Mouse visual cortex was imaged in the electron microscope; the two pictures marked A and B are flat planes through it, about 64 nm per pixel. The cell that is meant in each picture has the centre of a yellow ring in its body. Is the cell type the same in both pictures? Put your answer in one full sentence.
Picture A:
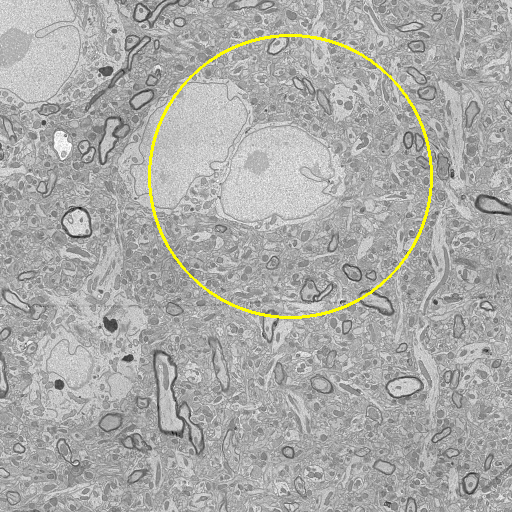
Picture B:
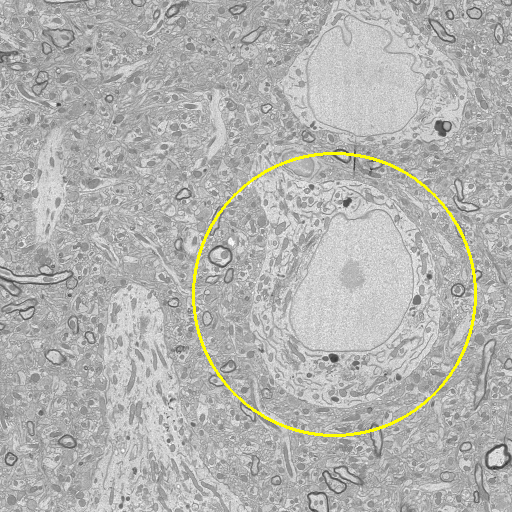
Yes, they are the same type: both are inhibitory neurons.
